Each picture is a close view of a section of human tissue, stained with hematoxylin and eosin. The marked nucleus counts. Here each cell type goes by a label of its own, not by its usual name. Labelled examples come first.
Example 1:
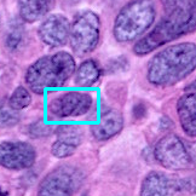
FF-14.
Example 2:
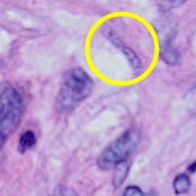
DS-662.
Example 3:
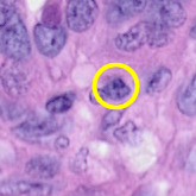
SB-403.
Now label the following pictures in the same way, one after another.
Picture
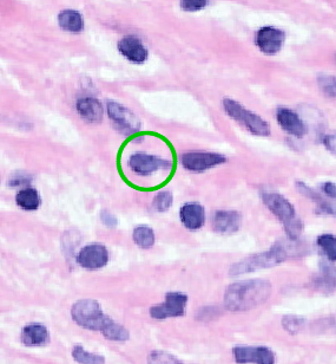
SB-403.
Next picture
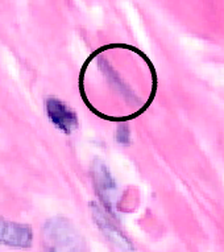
DS-662.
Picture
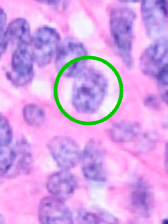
FF-14.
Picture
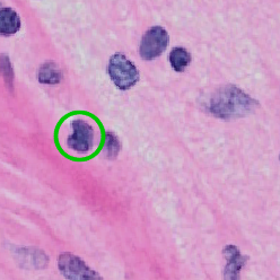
SB-403.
